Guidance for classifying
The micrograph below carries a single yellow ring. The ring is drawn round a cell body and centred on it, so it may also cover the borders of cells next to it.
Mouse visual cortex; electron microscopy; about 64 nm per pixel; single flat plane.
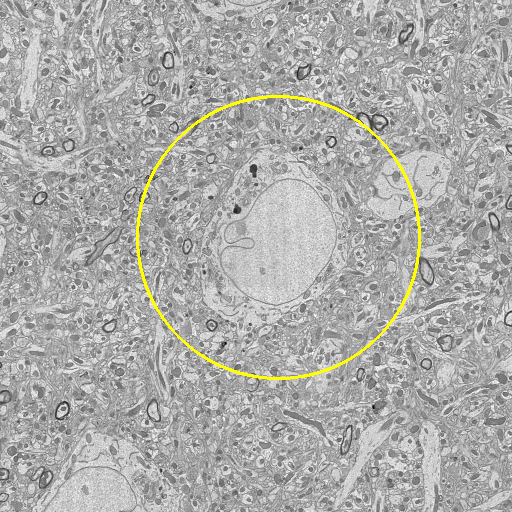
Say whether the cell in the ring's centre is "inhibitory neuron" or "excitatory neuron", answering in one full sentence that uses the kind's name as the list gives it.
Within the yellow ring, an excitatory neuron is the cell whose body sits at the centre.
